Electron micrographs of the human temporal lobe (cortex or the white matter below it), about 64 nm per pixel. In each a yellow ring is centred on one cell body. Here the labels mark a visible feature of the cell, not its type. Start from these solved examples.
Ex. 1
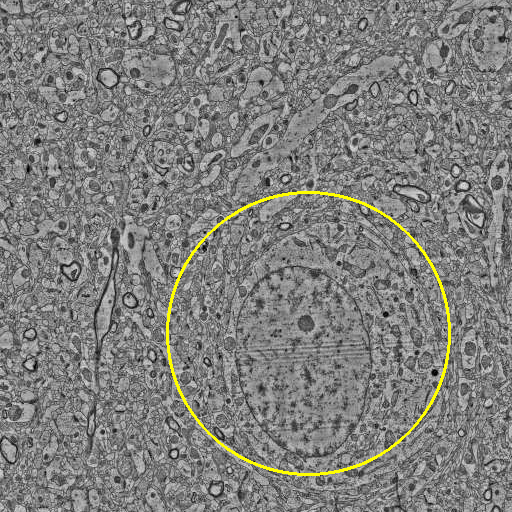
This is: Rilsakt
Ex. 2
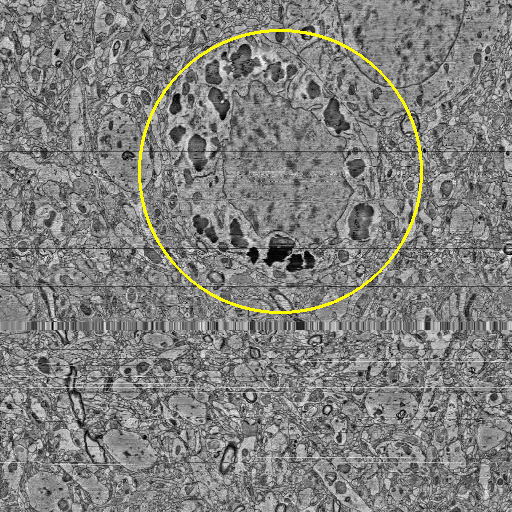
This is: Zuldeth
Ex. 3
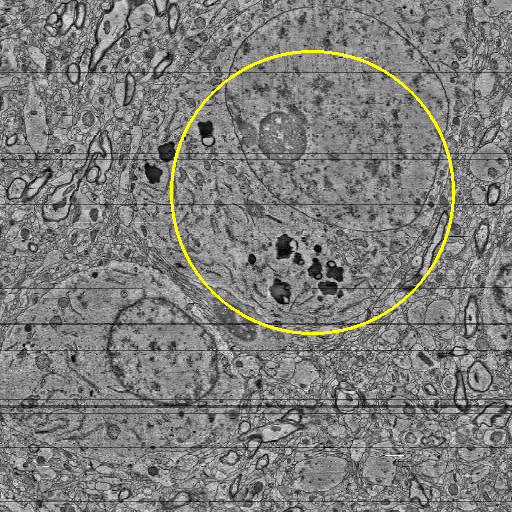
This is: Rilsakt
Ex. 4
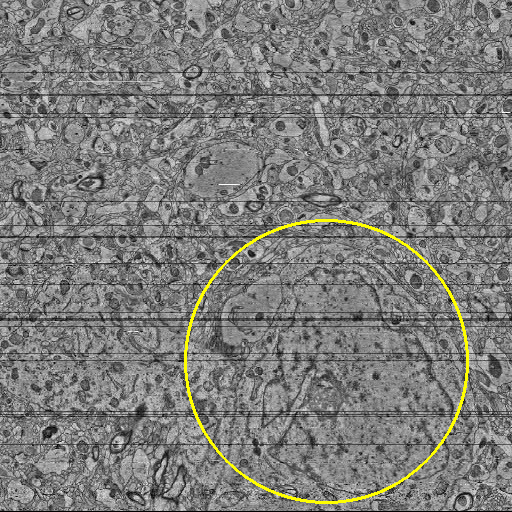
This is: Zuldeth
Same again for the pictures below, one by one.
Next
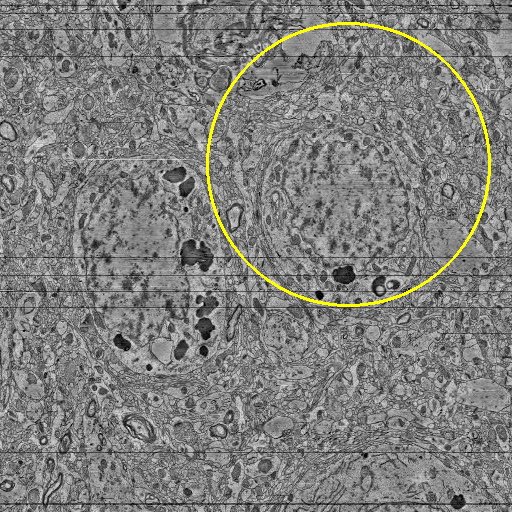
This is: Zuldeth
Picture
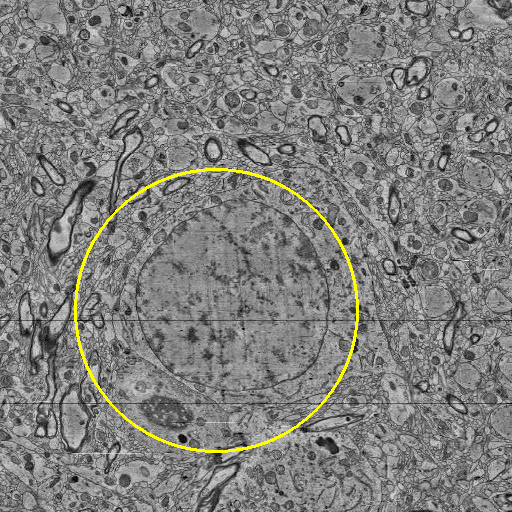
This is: Zuldeth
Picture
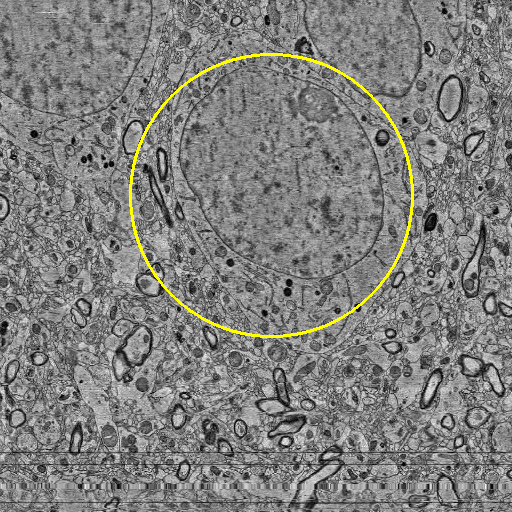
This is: Rilsakt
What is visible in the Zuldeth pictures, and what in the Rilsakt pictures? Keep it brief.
Zuldeth: no nucleolus seen; Rilsakt: nucleolus seen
